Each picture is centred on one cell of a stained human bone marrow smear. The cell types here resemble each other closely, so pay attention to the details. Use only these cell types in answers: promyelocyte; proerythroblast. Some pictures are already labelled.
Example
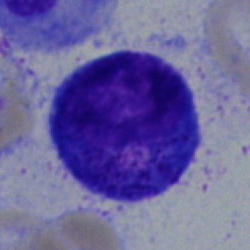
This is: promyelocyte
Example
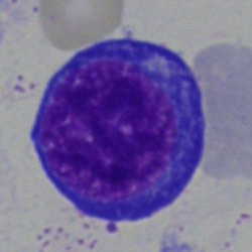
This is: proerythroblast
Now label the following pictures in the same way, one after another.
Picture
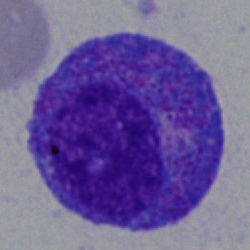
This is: promyelocyte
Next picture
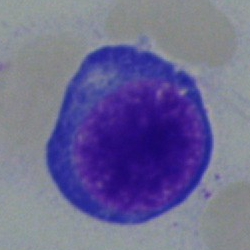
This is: proerythroblast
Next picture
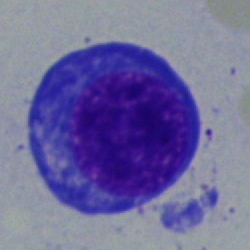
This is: proerythroblast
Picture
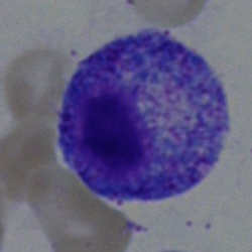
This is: promyelocyte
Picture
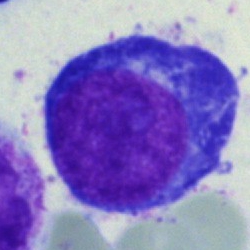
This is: proerythroblast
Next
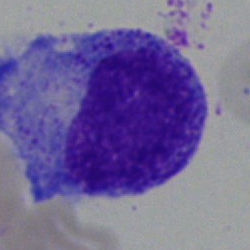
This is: promyelocyte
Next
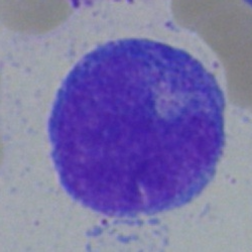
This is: promyelocyte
